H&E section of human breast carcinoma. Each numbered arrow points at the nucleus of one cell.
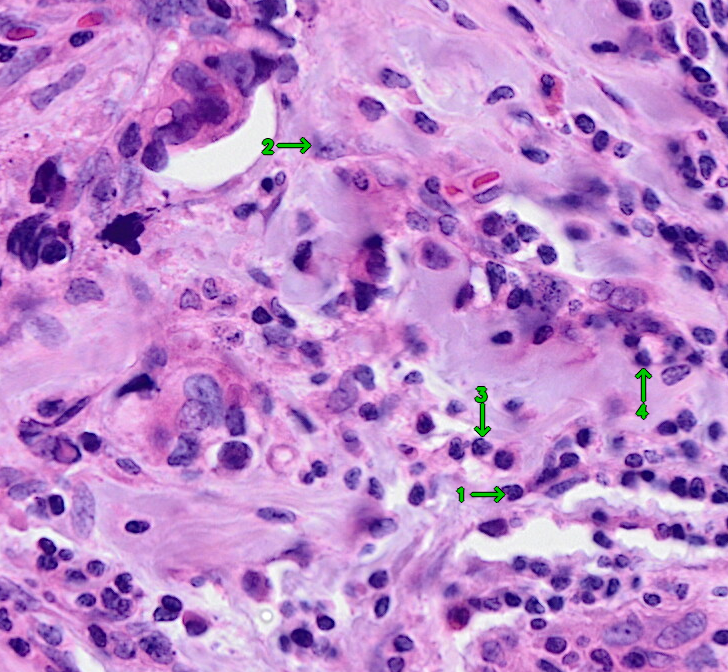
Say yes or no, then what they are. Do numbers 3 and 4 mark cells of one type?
Yes, both are lymphocytes.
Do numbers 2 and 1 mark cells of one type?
No, cell 2 is a fibroblast and cell 1 is a lymphocyte.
